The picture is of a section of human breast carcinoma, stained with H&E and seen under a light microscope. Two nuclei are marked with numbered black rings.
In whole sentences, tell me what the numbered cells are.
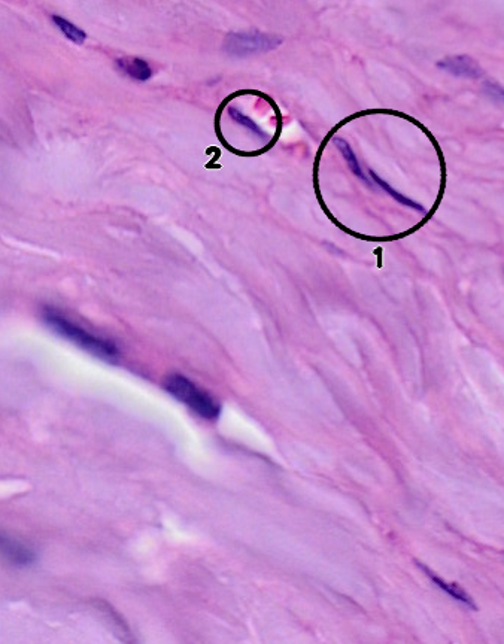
Cell 1 is a fibroblast. Cell 2 is an endothelial cell.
